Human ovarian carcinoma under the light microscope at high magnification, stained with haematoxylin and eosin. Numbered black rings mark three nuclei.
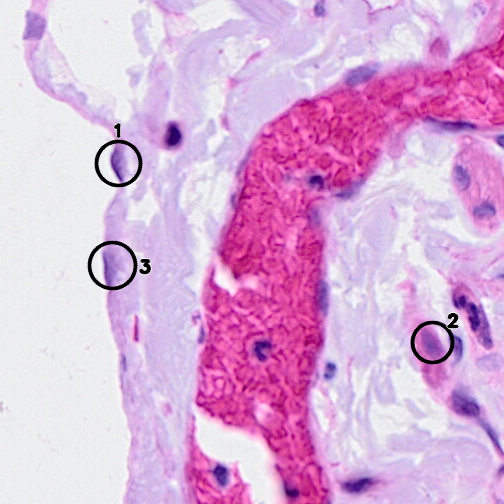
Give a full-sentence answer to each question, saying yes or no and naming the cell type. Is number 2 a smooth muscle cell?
Yes, for number 2, the cell is a smooth muscle cell.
